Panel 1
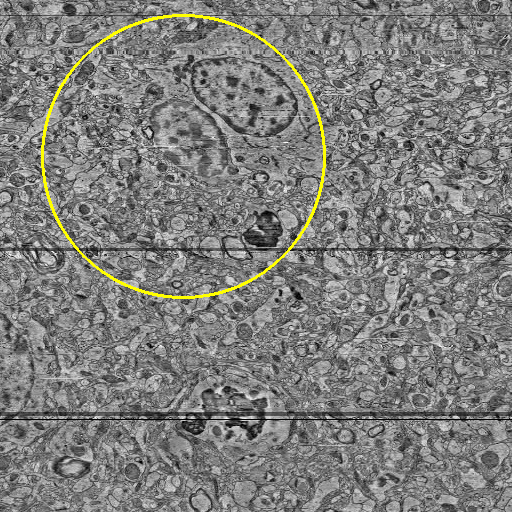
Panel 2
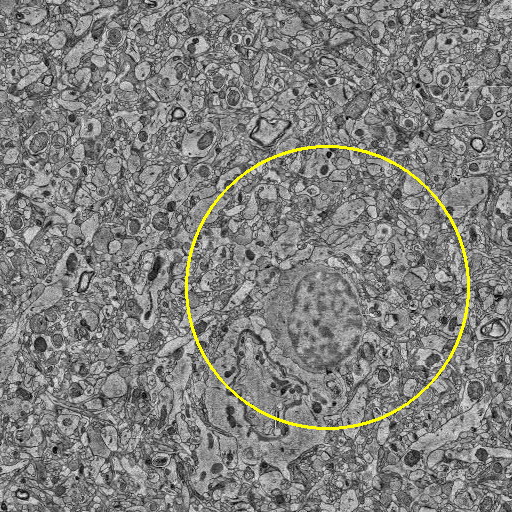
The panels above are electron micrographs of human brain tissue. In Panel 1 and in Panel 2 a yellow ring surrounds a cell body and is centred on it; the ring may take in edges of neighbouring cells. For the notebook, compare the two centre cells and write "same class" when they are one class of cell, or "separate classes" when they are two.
same class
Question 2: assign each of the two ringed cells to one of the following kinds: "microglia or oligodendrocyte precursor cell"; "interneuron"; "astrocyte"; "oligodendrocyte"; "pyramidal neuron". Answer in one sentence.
Each of the ringed cells, first and second, is an oligodendrocyte.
